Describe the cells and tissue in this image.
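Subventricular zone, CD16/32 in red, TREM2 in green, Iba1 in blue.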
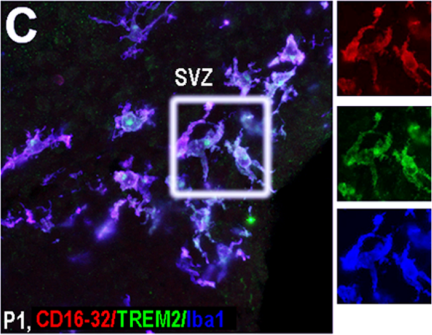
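Processes of neighbouring cells come close to one another. A few small bright green dots lie among the cells. The side strips show the same boxed cells in separate red, green and blue channels, each outlining the same branched shapes, the green being fainter and more granular than the red and blue.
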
